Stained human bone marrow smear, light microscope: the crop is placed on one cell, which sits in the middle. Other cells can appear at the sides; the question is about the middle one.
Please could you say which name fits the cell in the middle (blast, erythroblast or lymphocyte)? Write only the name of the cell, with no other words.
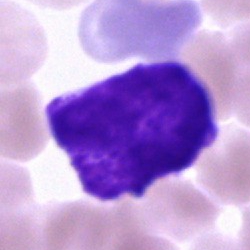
blast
